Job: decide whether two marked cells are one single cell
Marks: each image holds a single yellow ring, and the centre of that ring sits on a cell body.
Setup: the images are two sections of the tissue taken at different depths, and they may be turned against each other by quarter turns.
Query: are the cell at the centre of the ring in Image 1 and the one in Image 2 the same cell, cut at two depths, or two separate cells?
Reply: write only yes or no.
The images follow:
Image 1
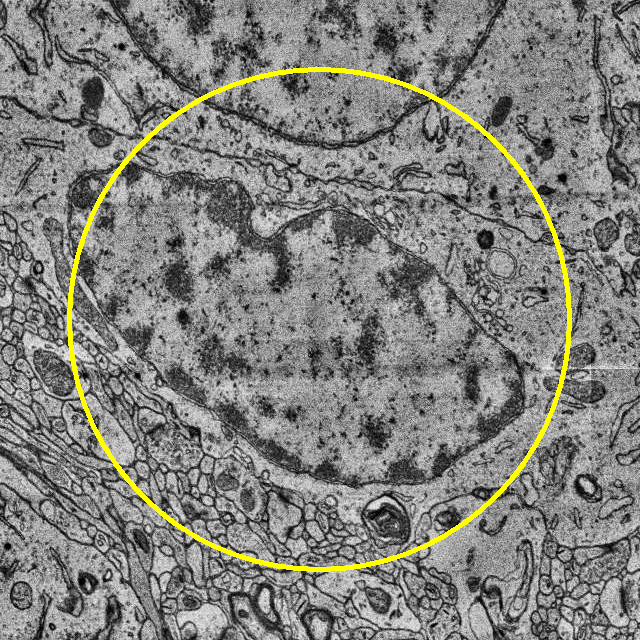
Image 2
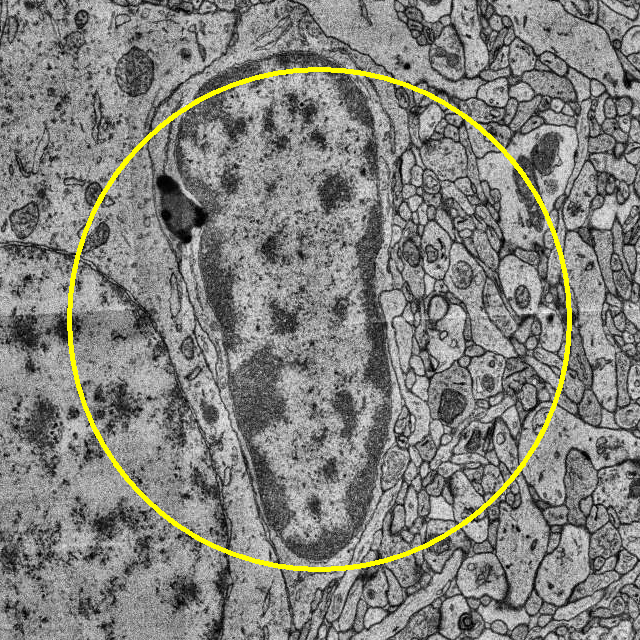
no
